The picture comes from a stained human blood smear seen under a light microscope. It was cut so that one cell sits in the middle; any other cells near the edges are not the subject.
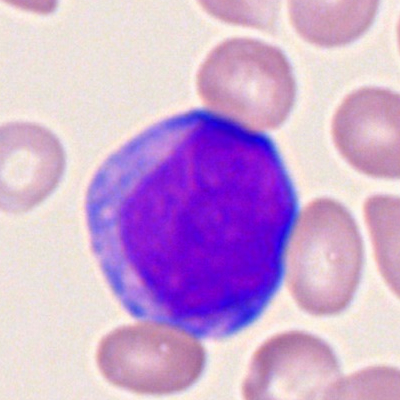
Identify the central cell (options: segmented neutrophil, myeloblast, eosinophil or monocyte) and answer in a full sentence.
The cell at the centre of the field is a myeloblast.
